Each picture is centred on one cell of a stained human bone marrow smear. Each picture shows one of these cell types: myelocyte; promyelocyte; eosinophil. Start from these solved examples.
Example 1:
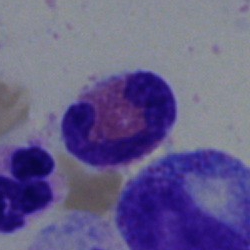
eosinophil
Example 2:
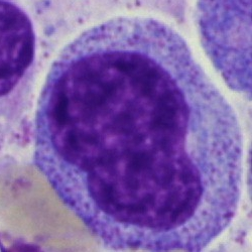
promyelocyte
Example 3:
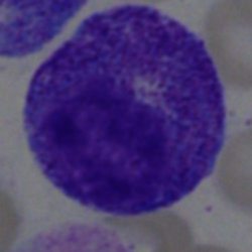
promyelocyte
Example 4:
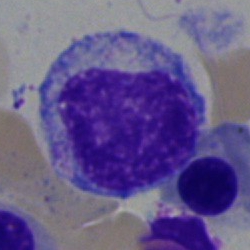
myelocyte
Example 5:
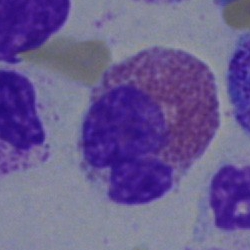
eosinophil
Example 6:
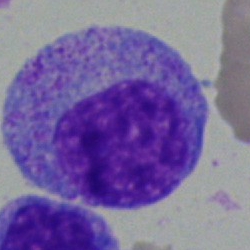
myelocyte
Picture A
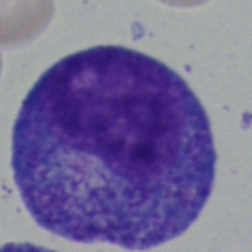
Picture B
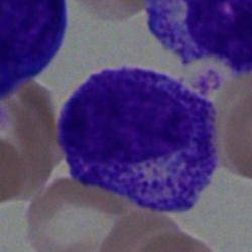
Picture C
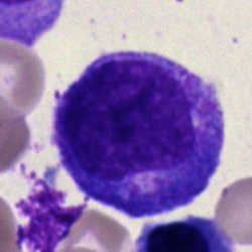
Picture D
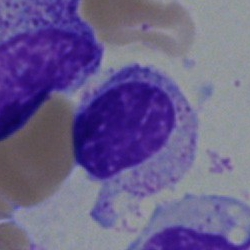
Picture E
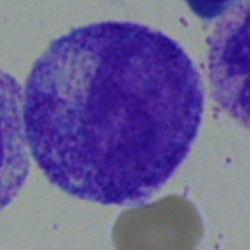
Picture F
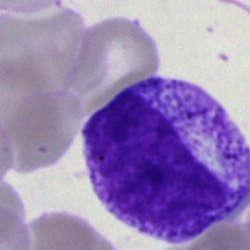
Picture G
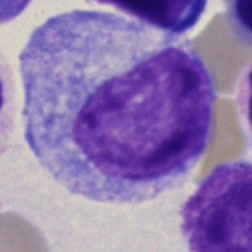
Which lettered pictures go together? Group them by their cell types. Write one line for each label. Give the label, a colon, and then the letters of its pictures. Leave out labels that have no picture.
myelocyte: B, C, D, F
promyelocyte: A, E, G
